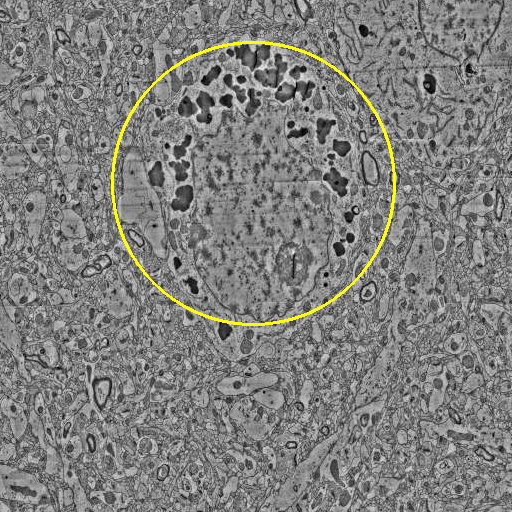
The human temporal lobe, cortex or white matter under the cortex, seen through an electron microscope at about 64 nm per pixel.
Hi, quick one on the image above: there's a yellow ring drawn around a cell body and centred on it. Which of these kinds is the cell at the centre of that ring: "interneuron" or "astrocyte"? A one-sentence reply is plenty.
The cell at the centre of the ring is an interneuron.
